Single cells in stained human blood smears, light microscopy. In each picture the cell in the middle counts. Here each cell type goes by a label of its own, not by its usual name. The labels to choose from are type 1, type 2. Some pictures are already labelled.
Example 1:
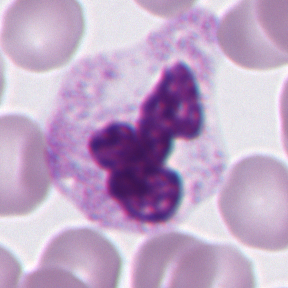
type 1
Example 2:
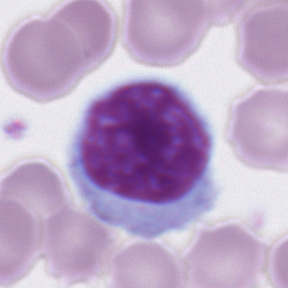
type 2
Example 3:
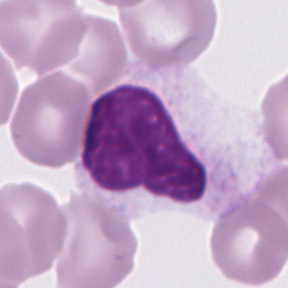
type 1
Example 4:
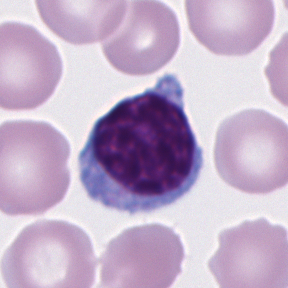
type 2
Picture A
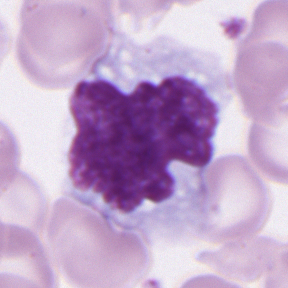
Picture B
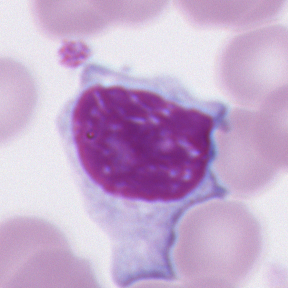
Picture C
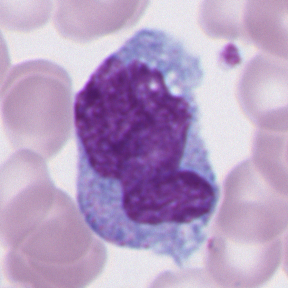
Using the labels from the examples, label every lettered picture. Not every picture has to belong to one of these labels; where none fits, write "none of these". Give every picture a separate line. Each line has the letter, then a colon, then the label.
A: none of these
B: type 2
C: none of these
